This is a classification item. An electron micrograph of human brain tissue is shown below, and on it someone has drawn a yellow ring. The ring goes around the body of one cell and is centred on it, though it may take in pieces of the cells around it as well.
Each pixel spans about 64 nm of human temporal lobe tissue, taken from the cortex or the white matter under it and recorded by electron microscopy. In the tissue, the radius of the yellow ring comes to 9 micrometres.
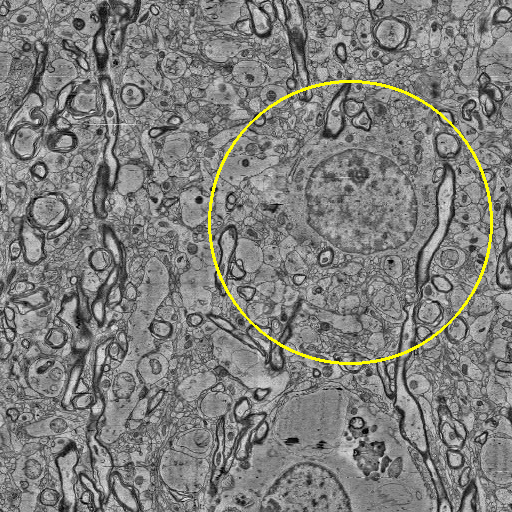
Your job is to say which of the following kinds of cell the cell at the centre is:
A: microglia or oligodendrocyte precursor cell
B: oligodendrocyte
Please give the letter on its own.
B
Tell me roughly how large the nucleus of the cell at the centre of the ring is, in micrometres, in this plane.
Approximately 8 by 7 micrometers in this plane.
